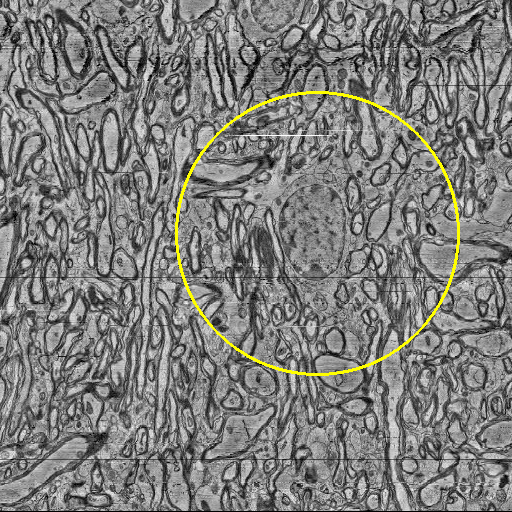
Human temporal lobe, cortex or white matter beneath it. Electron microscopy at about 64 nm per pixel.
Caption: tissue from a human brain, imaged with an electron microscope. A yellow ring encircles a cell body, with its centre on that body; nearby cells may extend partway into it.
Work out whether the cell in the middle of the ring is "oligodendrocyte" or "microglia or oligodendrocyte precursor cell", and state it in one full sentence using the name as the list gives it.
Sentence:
In the picture, the cell that the yellow ring surrounds at its centre is a microglial cell or oligodendrocyte precursor cell.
